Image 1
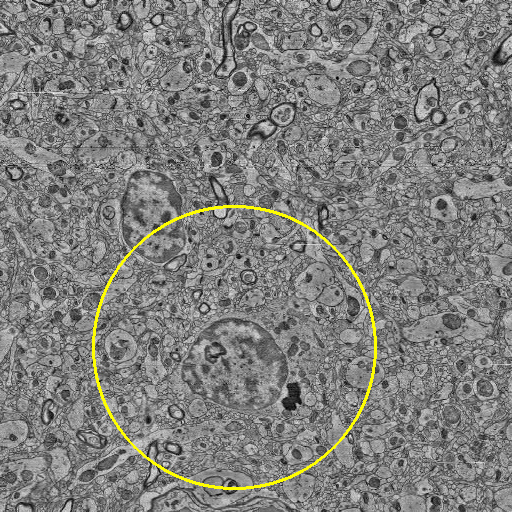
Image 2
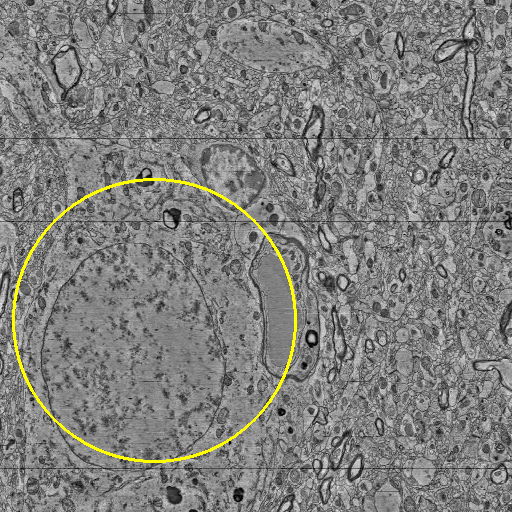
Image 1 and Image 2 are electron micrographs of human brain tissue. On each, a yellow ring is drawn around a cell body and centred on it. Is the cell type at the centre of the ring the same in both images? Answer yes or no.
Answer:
no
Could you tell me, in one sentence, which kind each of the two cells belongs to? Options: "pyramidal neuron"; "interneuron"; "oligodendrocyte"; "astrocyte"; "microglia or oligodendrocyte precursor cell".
At the centre of the first ring sits an oligodendrocyte, and at the centre of the second sits a pyramidal neuron.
